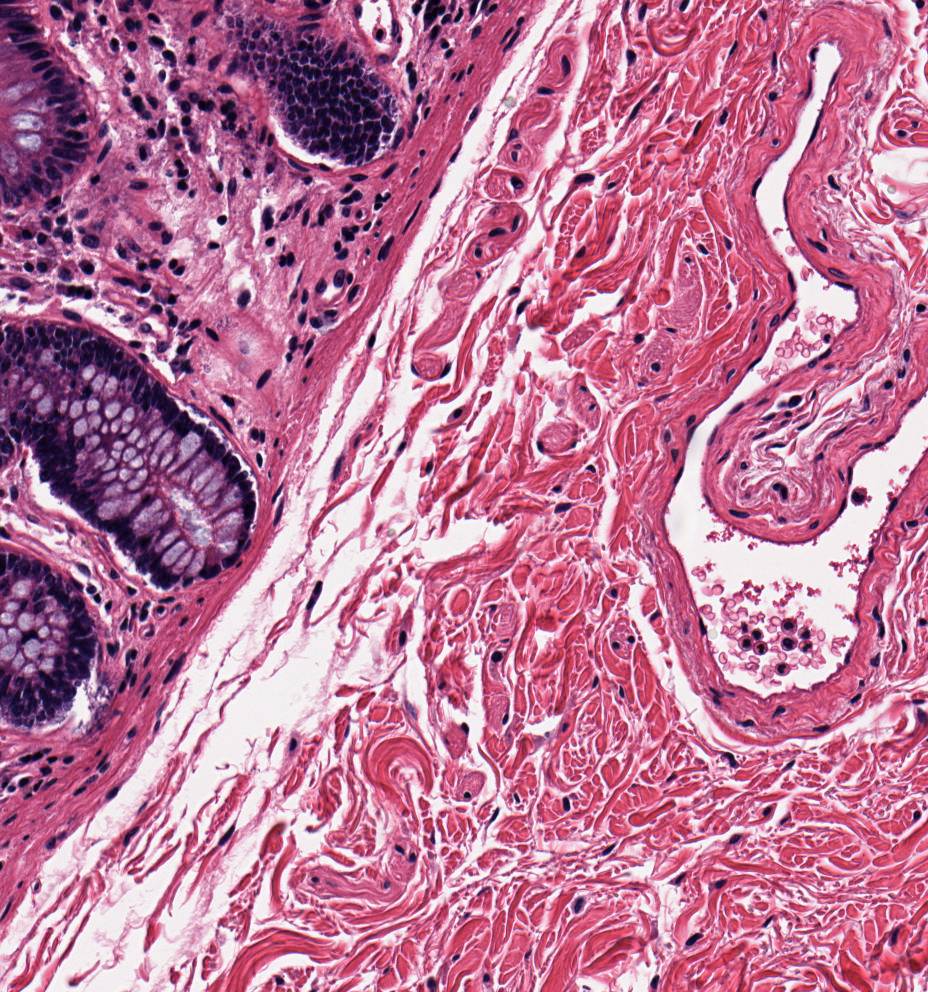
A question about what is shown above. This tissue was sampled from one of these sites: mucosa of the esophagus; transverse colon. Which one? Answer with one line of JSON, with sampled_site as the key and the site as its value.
{"sampled_site": "transverse colon"}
